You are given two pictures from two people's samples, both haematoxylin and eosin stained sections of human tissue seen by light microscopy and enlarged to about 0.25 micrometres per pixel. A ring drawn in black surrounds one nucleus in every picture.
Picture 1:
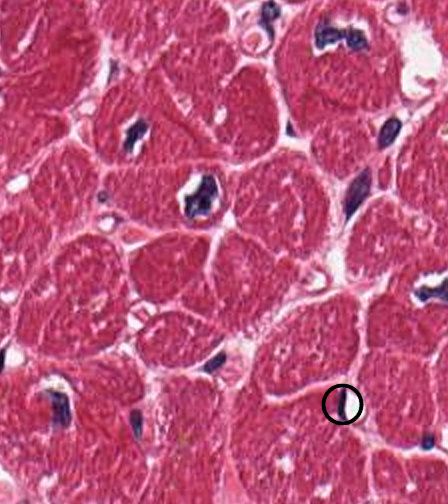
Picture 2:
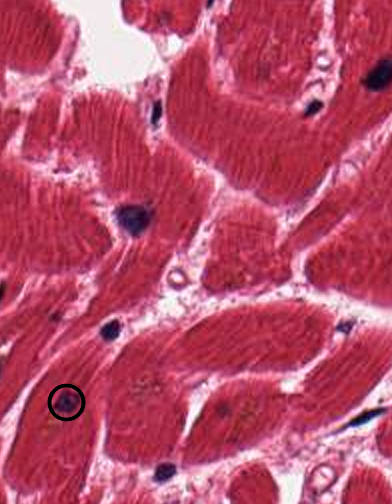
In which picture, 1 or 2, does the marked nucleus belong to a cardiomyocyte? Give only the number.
2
